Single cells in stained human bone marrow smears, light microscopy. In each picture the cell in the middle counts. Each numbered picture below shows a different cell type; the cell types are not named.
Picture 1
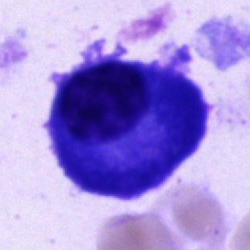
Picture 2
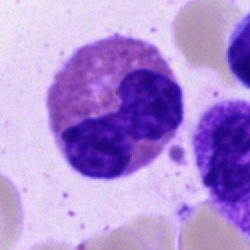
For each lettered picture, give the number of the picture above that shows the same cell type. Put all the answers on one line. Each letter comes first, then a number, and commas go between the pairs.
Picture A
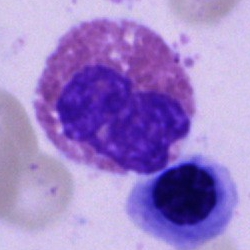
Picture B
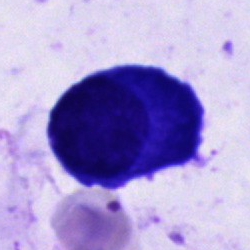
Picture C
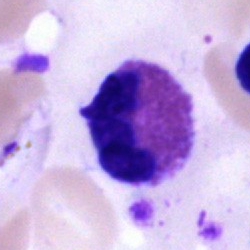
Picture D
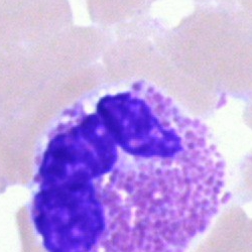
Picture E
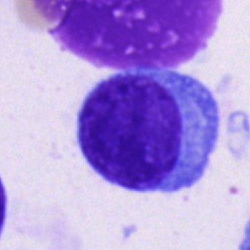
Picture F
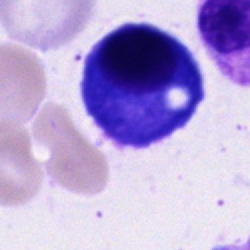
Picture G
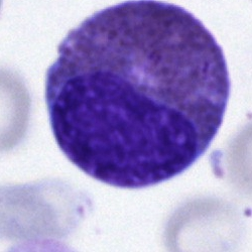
A 2, B 1, C 2, D 2, E 1, F 1, G 2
